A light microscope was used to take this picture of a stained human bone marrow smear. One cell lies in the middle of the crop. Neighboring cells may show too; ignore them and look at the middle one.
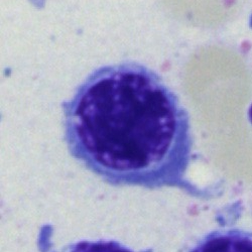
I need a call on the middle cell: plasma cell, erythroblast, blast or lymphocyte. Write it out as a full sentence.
Centred in the crop is an erythroblast.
